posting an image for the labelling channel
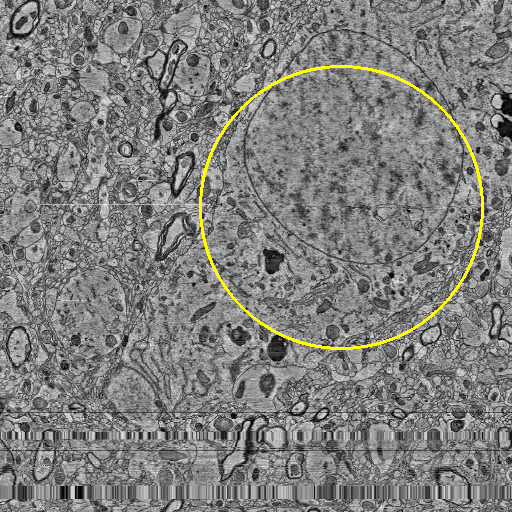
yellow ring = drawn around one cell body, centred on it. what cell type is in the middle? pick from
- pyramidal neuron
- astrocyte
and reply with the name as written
pyramidal neuron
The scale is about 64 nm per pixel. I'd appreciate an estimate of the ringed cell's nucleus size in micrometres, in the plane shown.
About 15 micrometers across, in this plane.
